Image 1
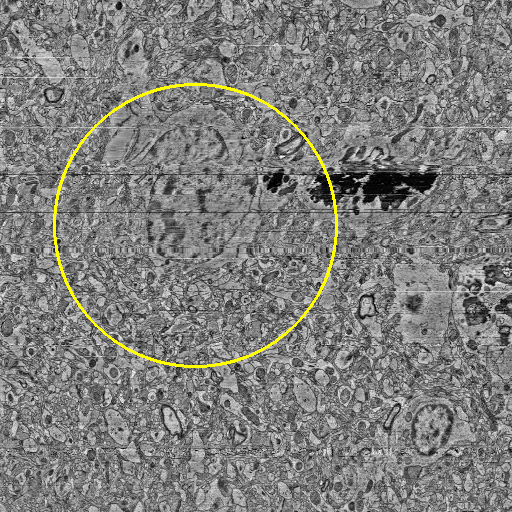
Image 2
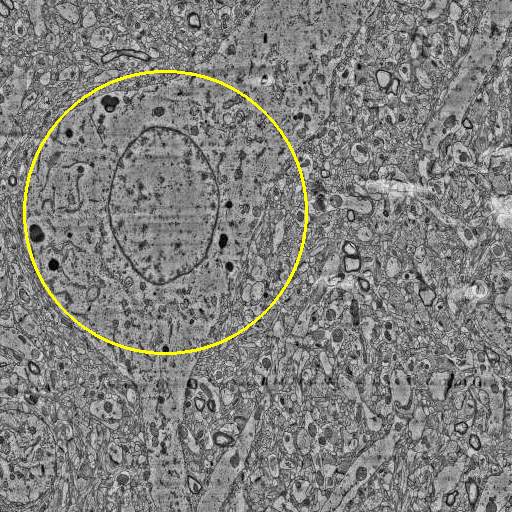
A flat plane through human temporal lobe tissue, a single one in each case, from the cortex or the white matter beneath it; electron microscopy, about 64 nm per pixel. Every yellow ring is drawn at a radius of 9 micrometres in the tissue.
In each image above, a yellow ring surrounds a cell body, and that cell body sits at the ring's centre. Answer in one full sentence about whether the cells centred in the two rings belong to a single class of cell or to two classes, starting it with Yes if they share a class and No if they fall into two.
No, the cells centred in the two yellow rings belong to two classes of cell.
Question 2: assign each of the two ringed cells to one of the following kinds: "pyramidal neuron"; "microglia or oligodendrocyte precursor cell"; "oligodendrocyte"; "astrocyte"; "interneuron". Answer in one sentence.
The two cells are an astrocyte in the first picture and a pyramidal neuron in the second.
